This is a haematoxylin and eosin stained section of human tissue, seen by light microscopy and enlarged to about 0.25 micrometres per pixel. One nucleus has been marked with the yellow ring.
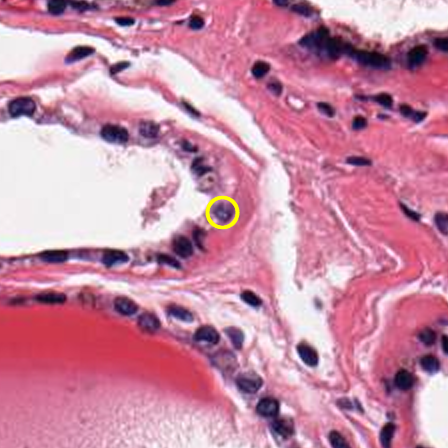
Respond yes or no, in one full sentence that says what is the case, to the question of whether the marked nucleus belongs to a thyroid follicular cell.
Yes, the marked nucleus is the nucleus belonging to a thyroid follicular cell.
